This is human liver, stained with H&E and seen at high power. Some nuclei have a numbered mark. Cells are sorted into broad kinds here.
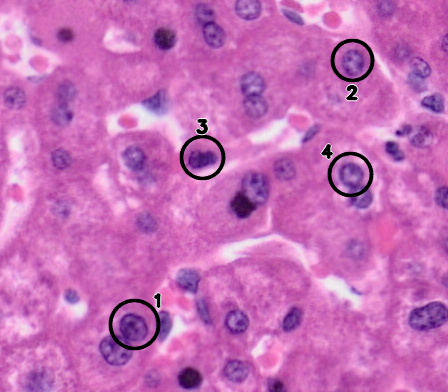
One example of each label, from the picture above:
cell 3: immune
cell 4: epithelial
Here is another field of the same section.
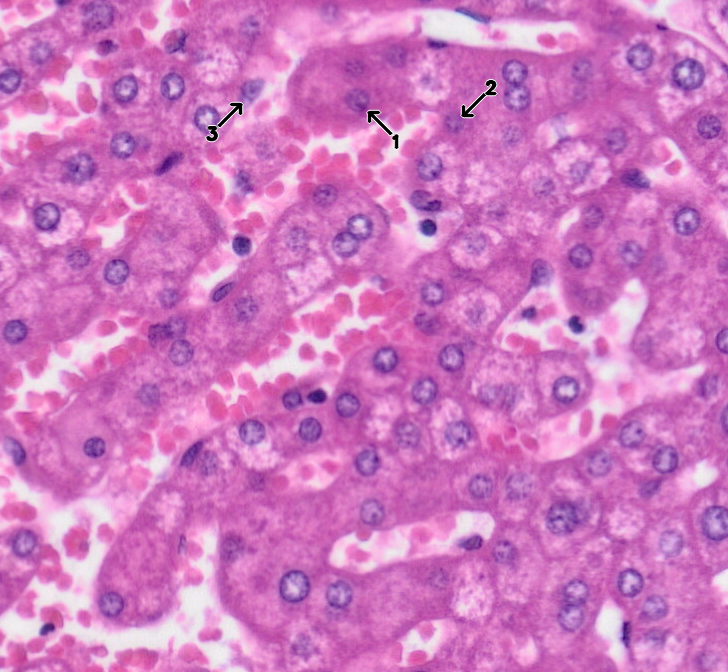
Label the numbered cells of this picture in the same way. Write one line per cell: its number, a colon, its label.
1: epithelial
2: epithelial
3: immune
